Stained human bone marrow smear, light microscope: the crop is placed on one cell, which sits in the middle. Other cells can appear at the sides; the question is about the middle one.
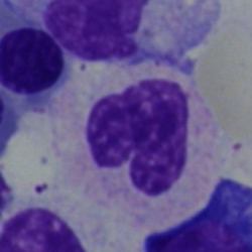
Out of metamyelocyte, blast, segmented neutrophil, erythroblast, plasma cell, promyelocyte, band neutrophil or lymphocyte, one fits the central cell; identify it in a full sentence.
The cell at the middle of the crop is recognized as a band neutrophil.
